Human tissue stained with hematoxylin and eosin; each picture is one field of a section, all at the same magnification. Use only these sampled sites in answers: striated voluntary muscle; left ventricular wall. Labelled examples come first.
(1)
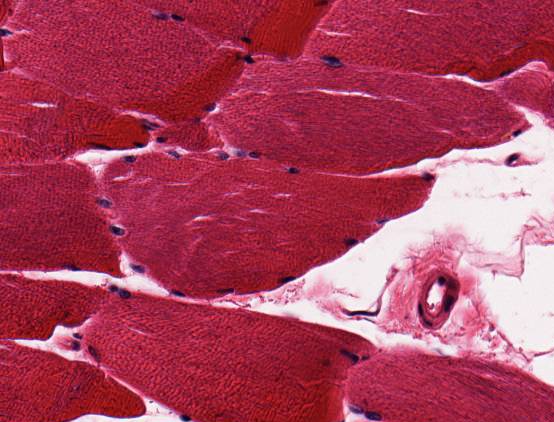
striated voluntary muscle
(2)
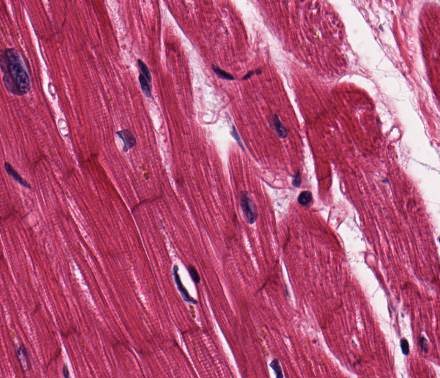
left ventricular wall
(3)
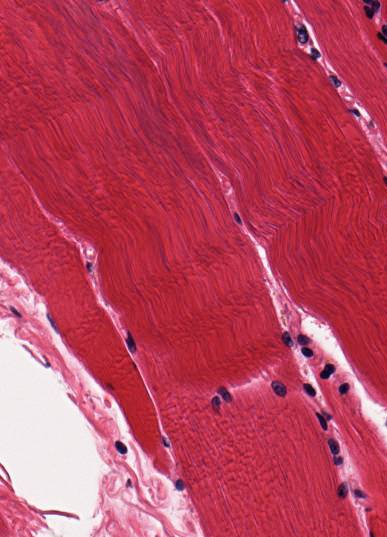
striated voluntary muscle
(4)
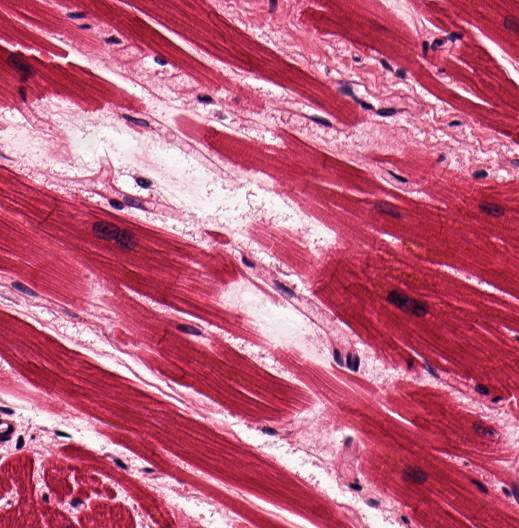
left ventricular wall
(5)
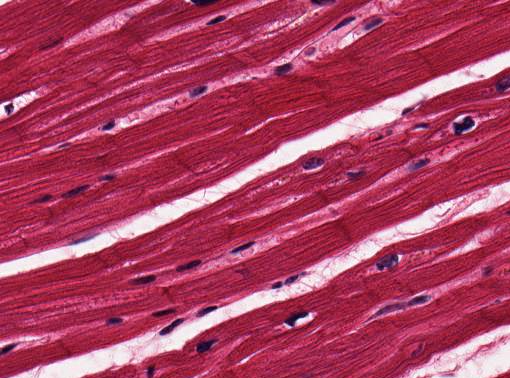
left ventricular wall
